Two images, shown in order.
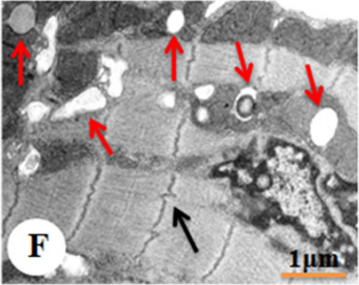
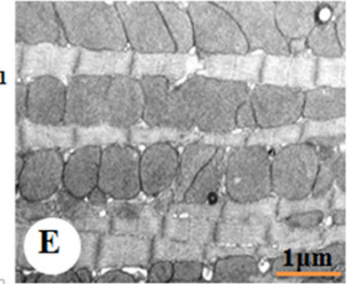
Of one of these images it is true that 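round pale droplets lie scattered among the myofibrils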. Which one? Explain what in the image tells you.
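First image: several round pale droplets and a dark-rimmed body lie between the myofibrils.
Conclusion: the first image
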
